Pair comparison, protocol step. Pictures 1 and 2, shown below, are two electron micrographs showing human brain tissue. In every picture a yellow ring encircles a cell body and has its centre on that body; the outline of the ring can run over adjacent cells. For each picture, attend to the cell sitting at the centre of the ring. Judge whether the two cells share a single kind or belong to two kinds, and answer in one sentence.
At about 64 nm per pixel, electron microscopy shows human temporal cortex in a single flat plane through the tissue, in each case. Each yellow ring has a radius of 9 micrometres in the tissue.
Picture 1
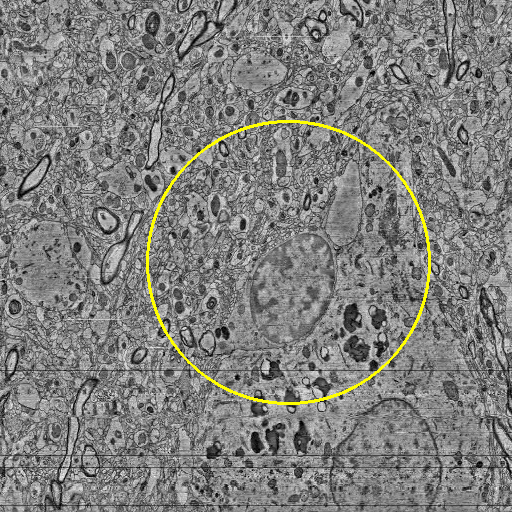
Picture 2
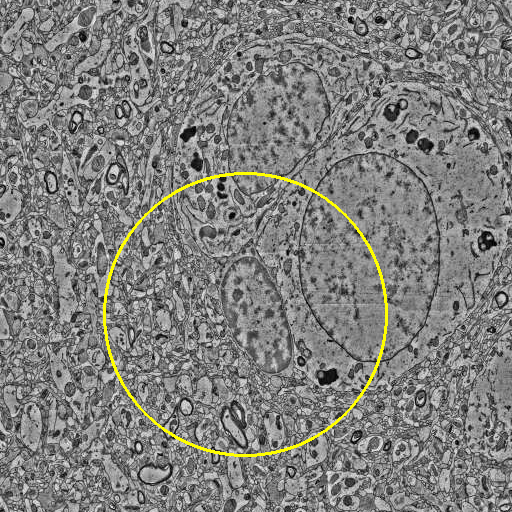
The two cells at the ring centres in Picture 1 and Picture 2 share a single kind.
